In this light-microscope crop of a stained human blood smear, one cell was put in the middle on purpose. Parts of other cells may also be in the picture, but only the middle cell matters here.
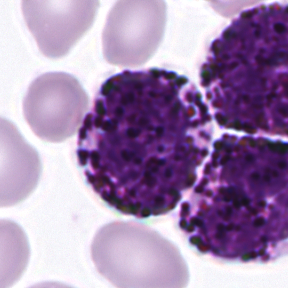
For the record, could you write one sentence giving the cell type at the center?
The cell in the middle of the field of view is a basophil.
